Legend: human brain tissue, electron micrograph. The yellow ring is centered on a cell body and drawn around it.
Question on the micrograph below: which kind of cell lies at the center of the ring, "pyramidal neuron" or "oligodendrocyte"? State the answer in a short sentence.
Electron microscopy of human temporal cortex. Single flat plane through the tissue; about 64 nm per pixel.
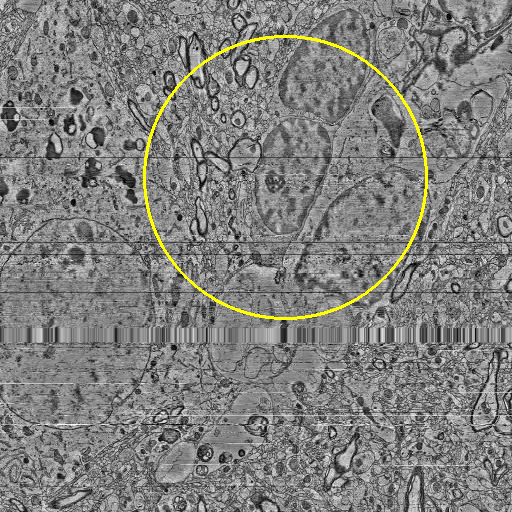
At the center of the ring lies an oligodendrocyte.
